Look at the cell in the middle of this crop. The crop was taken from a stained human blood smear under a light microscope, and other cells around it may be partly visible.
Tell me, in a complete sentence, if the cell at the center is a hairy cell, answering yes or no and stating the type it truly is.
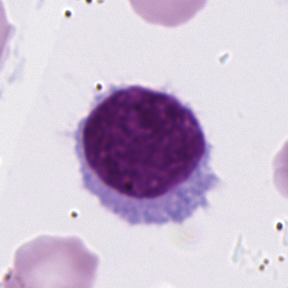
Yes, a hairy cell is the cell positioned in the middle of the field.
